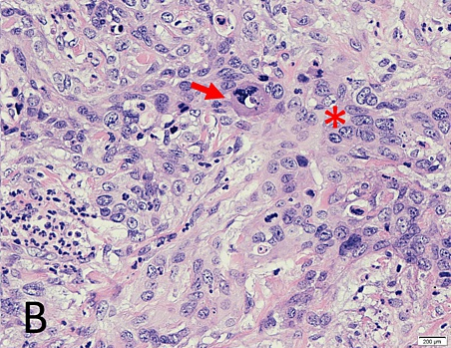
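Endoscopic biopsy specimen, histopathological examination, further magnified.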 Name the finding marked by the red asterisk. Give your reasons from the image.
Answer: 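Nuclei vary greatly in size and shape. Many nuclei are large and darkly stained. That points to this answer: nuclear pleomorphism and hyperchromia.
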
